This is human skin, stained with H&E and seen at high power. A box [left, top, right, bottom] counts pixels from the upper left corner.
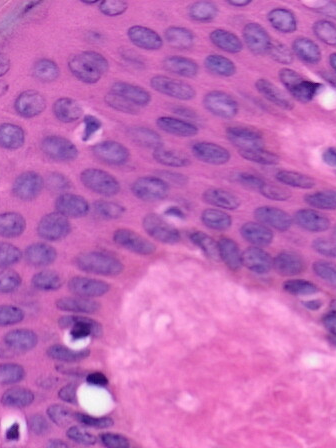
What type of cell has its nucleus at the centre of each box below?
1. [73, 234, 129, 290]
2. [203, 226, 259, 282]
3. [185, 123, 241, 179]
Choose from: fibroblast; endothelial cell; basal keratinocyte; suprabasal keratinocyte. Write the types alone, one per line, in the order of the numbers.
basal keratinocyte
basal keratinocyte
suprabasal keratinocyte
